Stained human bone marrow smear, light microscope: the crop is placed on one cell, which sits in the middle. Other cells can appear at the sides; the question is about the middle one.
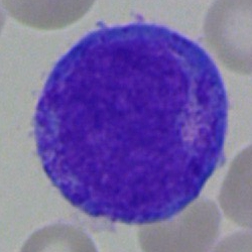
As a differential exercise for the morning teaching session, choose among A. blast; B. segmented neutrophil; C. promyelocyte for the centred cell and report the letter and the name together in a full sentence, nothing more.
The best answer is option C, since the cell in the middle is a promyelocyte.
